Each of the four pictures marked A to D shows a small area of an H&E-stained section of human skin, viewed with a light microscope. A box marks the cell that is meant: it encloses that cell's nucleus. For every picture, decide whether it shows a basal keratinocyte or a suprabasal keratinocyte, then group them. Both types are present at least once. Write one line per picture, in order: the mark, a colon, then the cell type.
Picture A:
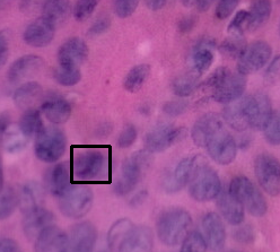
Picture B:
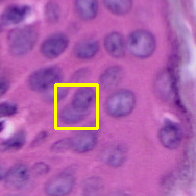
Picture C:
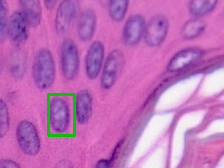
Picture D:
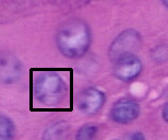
A: basal keratinocyte
B: suprabasal keratinocyte
C: suprabasal keratinocyte
D: suprabasal keratinocyte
